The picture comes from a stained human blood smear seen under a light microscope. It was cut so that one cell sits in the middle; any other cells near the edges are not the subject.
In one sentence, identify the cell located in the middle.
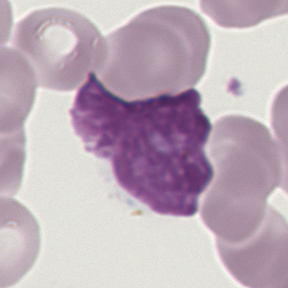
In this smear crop, the middle cell is a smudge cell.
